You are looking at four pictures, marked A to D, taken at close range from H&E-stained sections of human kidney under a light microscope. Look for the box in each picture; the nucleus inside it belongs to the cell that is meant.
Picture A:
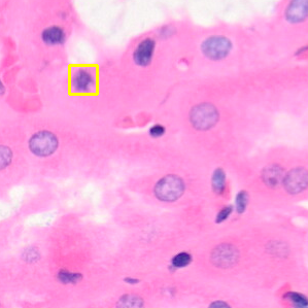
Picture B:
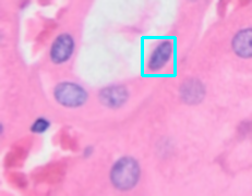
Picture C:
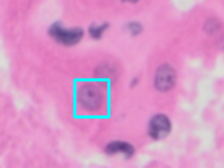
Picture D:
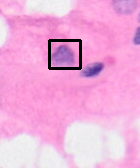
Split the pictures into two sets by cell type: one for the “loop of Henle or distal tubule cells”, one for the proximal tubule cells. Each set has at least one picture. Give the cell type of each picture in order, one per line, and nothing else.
loop of Henle or distal tubule cell
loop of Henle or distal tubule cell
proximal tubule cell
proximal tubule cell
